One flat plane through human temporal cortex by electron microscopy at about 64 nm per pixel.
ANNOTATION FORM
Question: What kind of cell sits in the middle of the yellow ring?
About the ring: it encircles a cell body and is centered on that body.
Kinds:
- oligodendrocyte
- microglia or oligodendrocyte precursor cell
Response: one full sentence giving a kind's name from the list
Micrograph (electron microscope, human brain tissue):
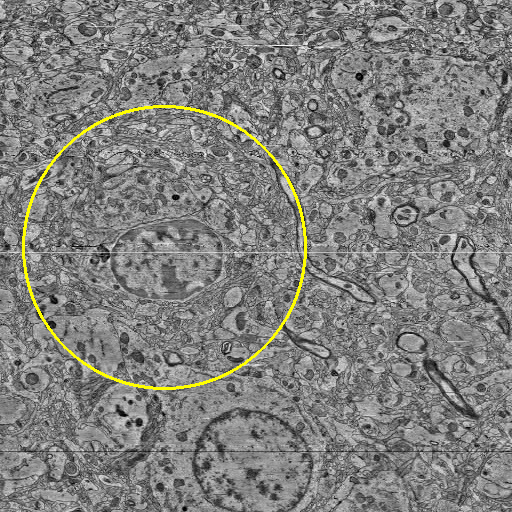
The kind of cell found at the center of the yellow ring in the micrograph is a microglial cell or oligodendrocyte precursor cell.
